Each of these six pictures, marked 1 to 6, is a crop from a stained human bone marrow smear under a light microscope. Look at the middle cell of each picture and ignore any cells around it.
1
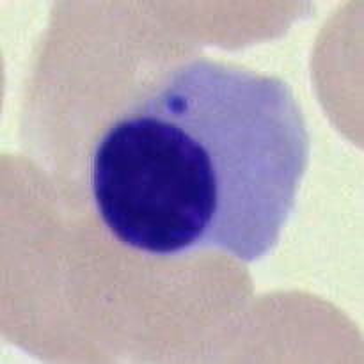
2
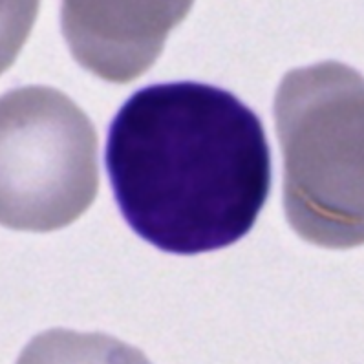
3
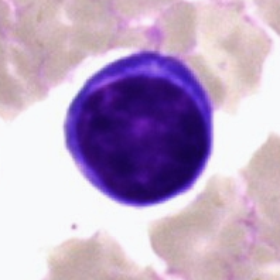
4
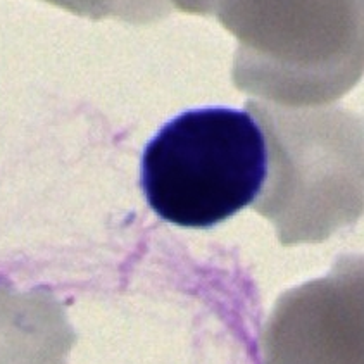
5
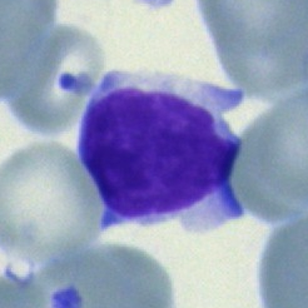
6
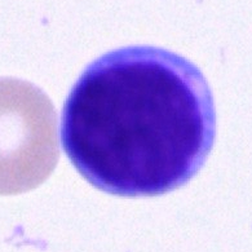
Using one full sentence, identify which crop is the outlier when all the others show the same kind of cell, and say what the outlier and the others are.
Crop 1 holds an erythroblast, unlike the remaining crops, all of which hold lymphocytes.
